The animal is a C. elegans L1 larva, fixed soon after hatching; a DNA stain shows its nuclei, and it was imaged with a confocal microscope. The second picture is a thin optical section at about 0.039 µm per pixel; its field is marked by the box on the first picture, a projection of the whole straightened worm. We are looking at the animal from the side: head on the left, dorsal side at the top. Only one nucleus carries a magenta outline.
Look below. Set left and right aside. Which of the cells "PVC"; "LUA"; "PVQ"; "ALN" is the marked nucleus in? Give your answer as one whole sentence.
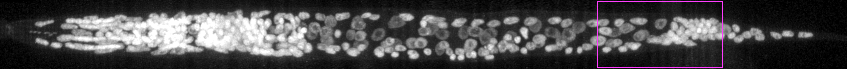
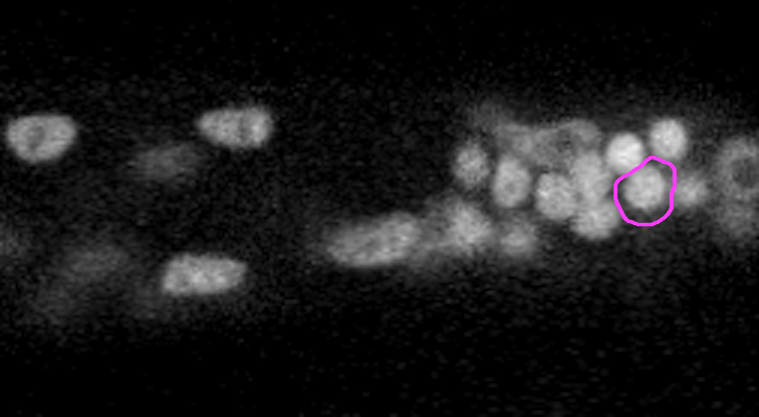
The cell whose nucleus is marked is PVC, a neuron.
